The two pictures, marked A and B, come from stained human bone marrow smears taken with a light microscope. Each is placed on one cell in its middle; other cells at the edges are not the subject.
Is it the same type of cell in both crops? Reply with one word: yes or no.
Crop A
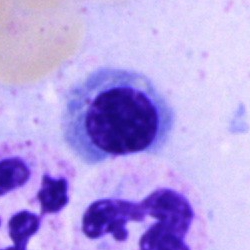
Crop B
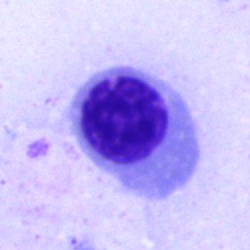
yes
